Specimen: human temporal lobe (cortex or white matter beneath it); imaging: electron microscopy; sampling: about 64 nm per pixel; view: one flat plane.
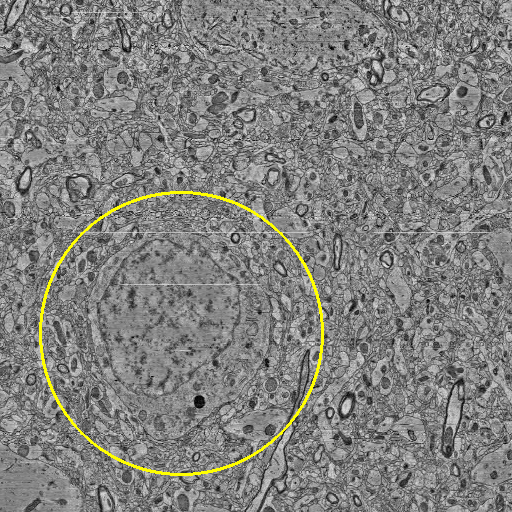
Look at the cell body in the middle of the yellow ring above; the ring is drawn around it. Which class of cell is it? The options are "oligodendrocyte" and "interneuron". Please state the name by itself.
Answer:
interneuron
